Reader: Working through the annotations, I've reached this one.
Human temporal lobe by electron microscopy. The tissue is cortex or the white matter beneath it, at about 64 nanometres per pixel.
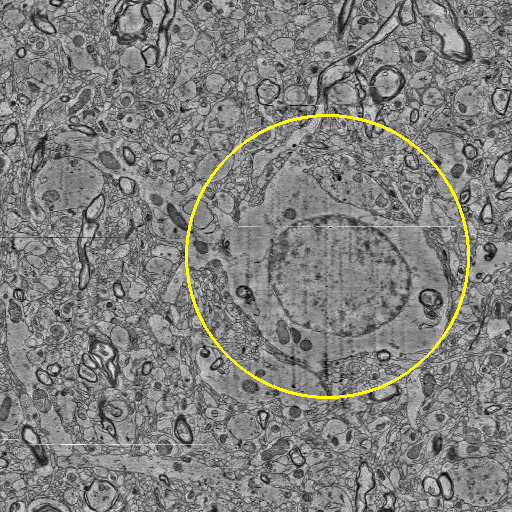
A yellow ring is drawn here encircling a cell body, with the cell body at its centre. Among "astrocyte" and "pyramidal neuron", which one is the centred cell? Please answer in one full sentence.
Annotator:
The cell body at the centre of the yellow ring in this image belongs to an astrocyte.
